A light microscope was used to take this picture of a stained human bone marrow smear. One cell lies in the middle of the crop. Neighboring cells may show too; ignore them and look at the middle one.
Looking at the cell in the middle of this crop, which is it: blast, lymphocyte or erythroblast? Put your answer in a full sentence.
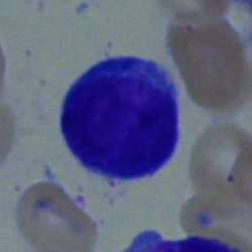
The centrally located cell in the crop is a blast.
